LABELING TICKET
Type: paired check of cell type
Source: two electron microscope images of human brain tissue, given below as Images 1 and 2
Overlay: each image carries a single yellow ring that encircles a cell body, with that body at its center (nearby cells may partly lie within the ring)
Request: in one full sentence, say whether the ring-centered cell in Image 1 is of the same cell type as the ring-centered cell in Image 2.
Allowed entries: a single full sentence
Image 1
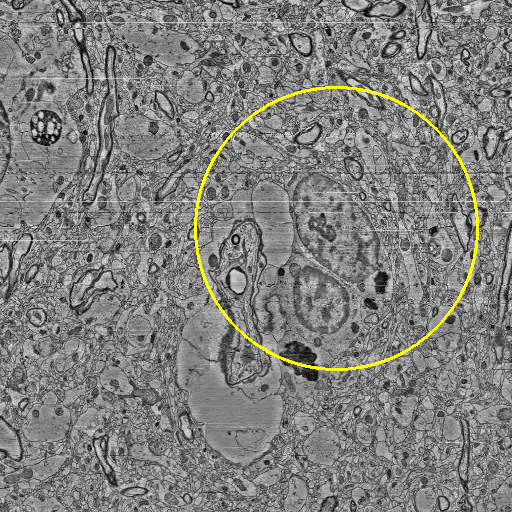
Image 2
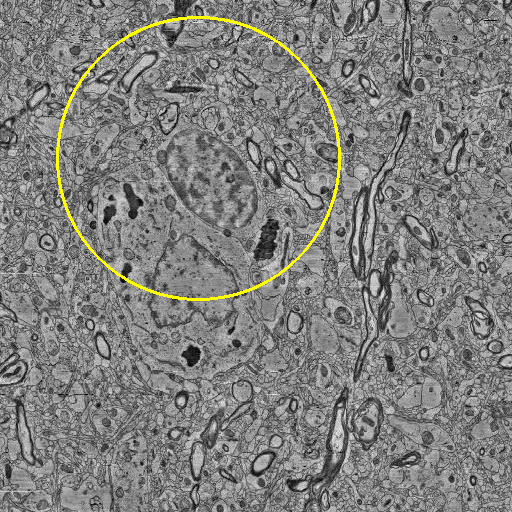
Yes, the cells centered in the rings of Image 1 and Image 2 share one type.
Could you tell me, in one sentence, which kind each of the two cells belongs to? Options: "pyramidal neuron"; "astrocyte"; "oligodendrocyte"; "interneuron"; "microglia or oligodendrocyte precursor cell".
The second cell is an oligodendrocyte, just as the first is.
